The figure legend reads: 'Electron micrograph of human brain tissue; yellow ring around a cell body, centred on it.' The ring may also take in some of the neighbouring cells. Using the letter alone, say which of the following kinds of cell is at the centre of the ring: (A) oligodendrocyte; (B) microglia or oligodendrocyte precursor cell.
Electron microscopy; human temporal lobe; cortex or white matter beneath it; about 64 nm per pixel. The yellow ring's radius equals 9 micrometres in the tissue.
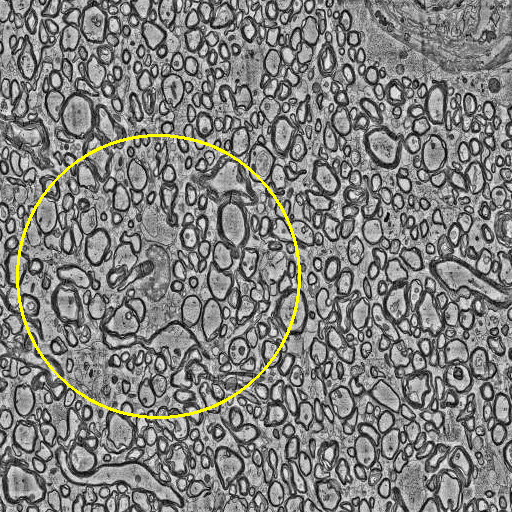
A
